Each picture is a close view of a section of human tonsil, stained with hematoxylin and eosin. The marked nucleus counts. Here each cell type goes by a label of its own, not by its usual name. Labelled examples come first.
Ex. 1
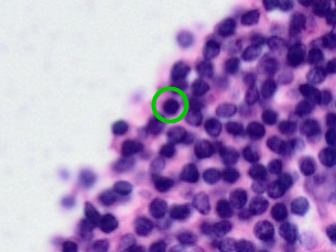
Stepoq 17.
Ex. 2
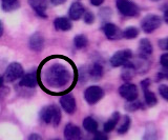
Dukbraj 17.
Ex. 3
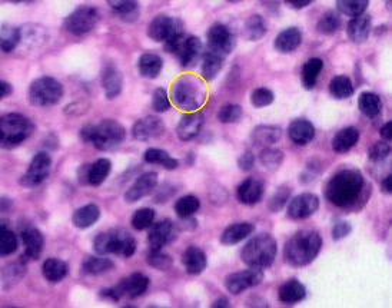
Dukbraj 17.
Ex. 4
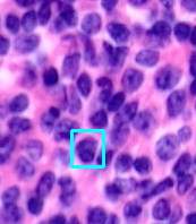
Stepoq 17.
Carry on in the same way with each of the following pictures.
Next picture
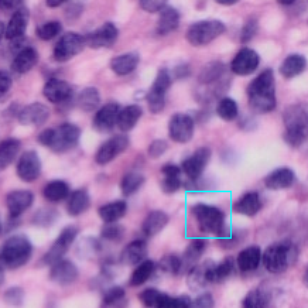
Dukbraj 17.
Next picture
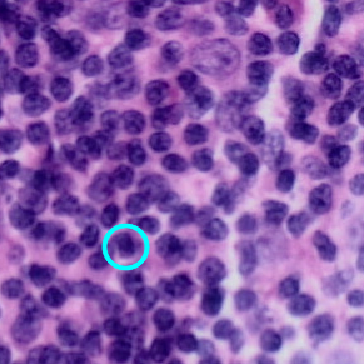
Stepoq 17.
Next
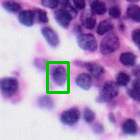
Stepoq 17.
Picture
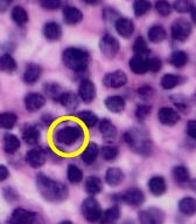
Stepoq 17.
